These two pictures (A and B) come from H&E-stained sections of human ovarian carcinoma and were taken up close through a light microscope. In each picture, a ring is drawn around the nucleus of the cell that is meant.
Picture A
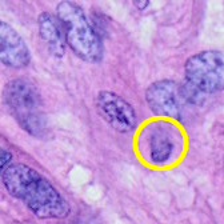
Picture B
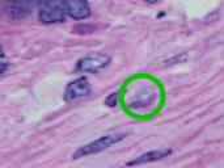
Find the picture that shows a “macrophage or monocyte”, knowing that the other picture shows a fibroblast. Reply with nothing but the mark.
A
